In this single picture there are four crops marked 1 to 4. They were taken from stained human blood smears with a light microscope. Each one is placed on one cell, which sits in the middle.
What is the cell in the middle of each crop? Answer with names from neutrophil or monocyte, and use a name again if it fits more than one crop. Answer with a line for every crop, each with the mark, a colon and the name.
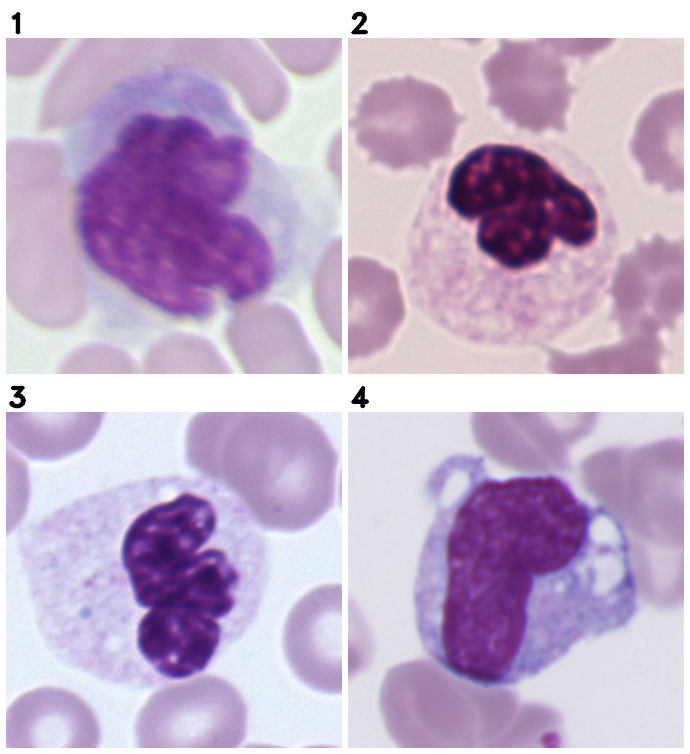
1: monocyte
2: neutrophil
3: neutrophil
4: monocyte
